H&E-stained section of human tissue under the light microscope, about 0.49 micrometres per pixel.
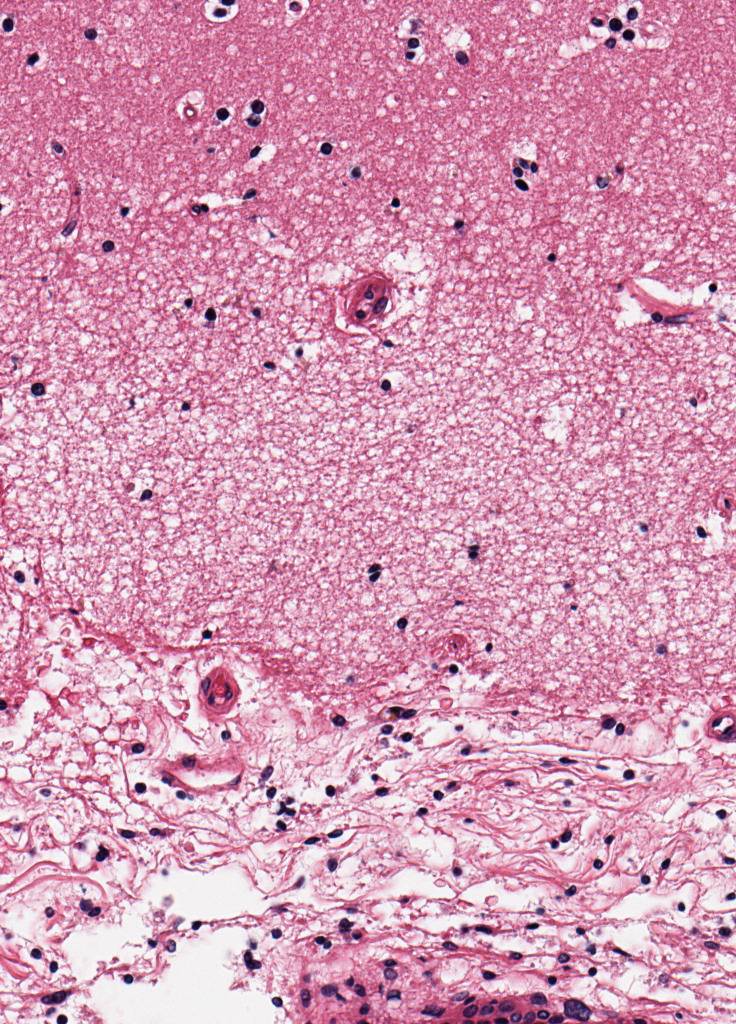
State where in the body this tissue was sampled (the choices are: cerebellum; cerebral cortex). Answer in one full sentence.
This is tissue that was sampled from the cerebral cortex.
